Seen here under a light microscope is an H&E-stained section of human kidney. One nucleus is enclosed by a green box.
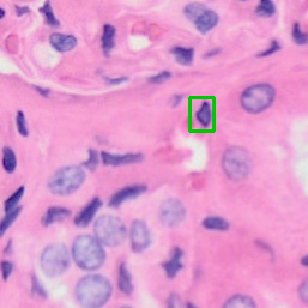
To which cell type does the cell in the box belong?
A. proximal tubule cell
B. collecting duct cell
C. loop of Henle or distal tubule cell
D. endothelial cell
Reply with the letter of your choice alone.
D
